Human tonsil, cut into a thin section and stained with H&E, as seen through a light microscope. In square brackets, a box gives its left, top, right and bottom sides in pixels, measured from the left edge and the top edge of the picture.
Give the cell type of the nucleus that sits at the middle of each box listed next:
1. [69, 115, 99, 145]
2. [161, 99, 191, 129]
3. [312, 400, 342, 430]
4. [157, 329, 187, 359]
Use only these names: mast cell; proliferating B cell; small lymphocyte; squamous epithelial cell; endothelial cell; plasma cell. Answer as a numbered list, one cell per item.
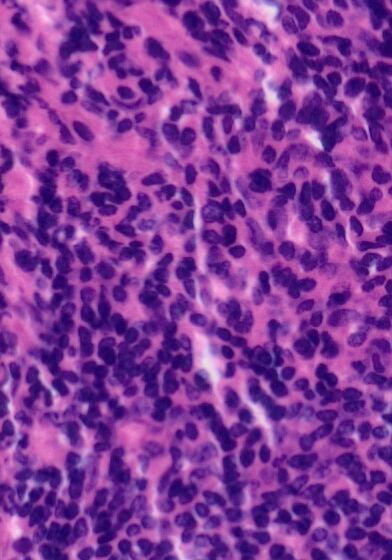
1. endothelial cell
2. small lymphocyte
3. small lymphocyte
4. small lymphocyte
